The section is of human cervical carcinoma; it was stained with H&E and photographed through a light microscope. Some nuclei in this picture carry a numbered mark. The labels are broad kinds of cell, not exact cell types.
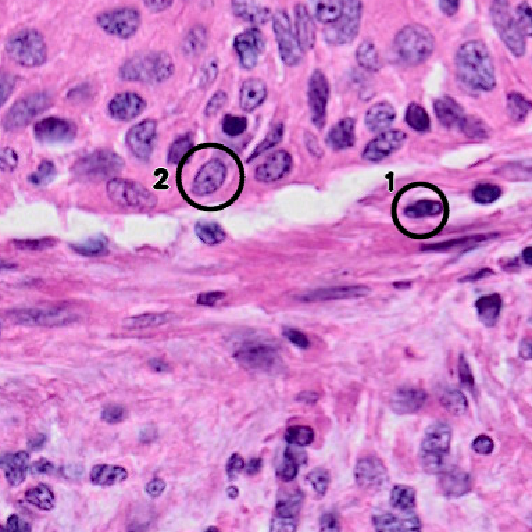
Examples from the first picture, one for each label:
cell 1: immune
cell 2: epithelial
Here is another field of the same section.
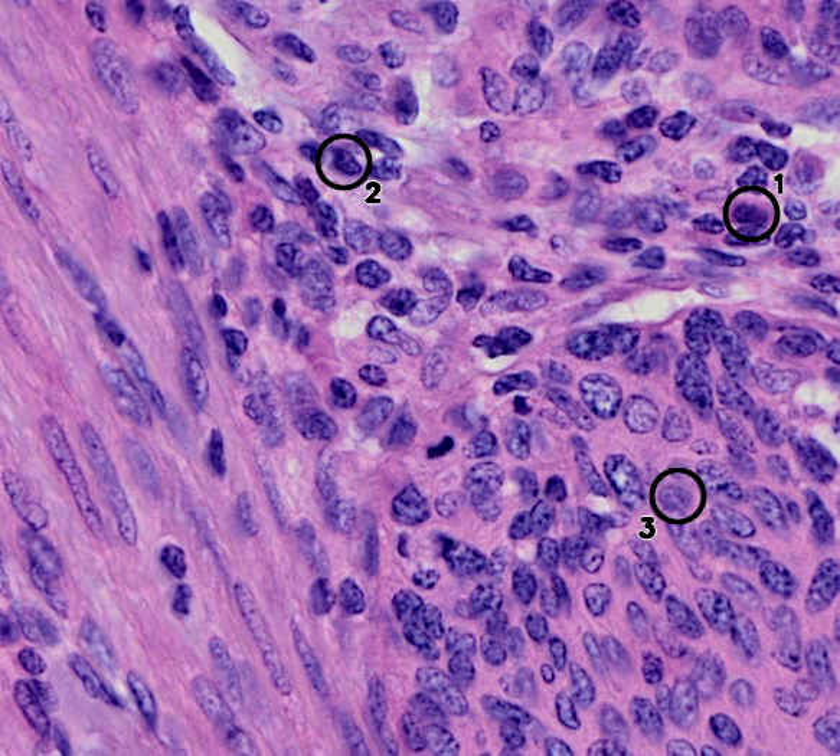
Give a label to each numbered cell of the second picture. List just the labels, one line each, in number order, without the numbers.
immune
immune
epithelial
